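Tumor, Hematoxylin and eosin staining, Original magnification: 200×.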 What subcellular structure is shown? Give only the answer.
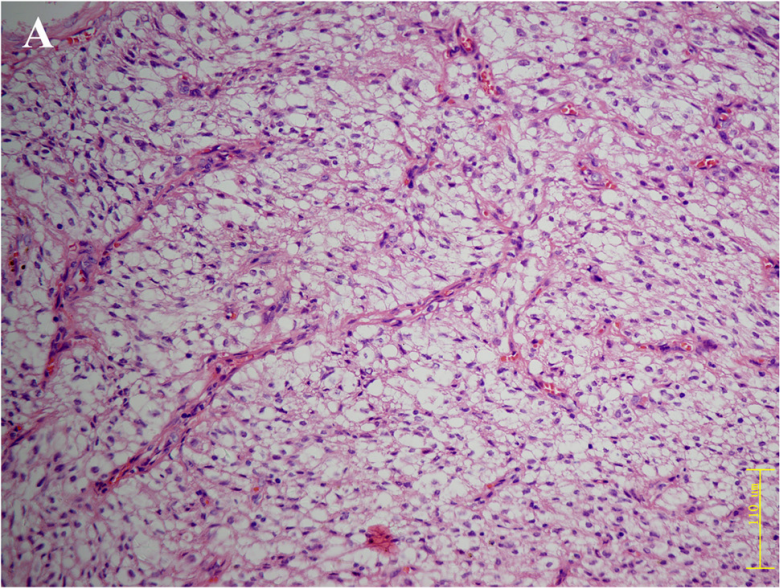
Clear to lightly eosinophilic cytoplasm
